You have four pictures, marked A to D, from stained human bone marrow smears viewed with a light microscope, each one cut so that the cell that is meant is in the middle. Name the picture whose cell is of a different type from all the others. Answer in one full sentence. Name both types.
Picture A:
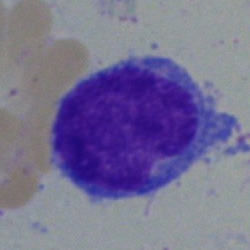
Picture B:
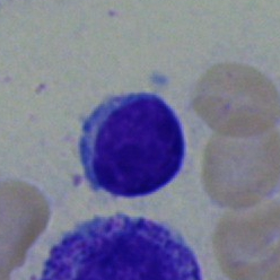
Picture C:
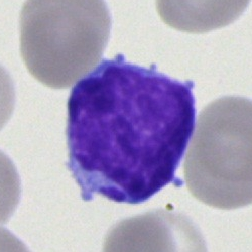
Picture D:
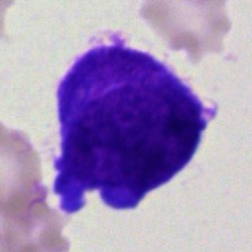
Picture B differs, because its cell is a lymphocyte and the rest are blasts.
